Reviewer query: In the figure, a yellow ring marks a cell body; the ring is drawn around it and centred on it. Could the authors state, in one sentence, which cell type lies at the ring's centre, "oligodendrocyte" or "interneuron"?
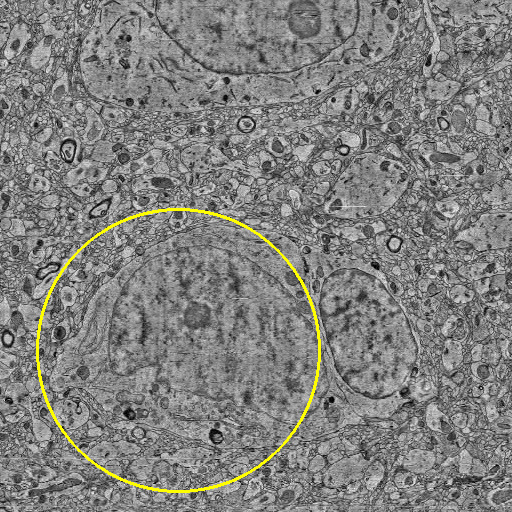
The ring is centred on an interneuron.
